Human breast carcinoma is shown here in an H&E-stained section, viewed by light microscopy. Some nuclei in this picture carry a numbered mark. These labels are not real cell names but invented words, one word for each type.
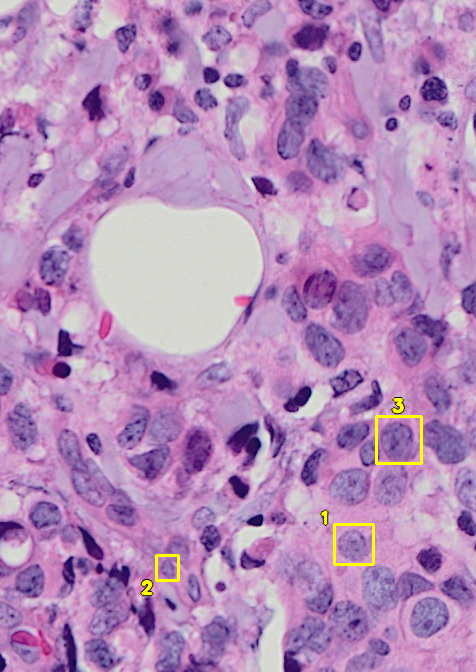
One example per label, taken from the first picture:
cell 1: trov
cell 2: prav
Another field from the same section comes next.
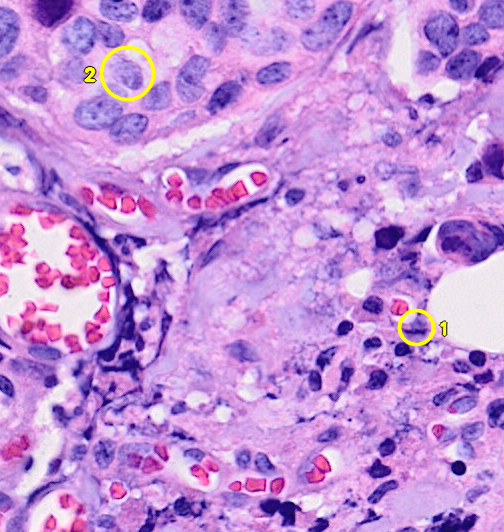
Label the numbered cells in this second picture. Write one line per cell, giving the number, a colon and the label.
1: prav
2: trov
